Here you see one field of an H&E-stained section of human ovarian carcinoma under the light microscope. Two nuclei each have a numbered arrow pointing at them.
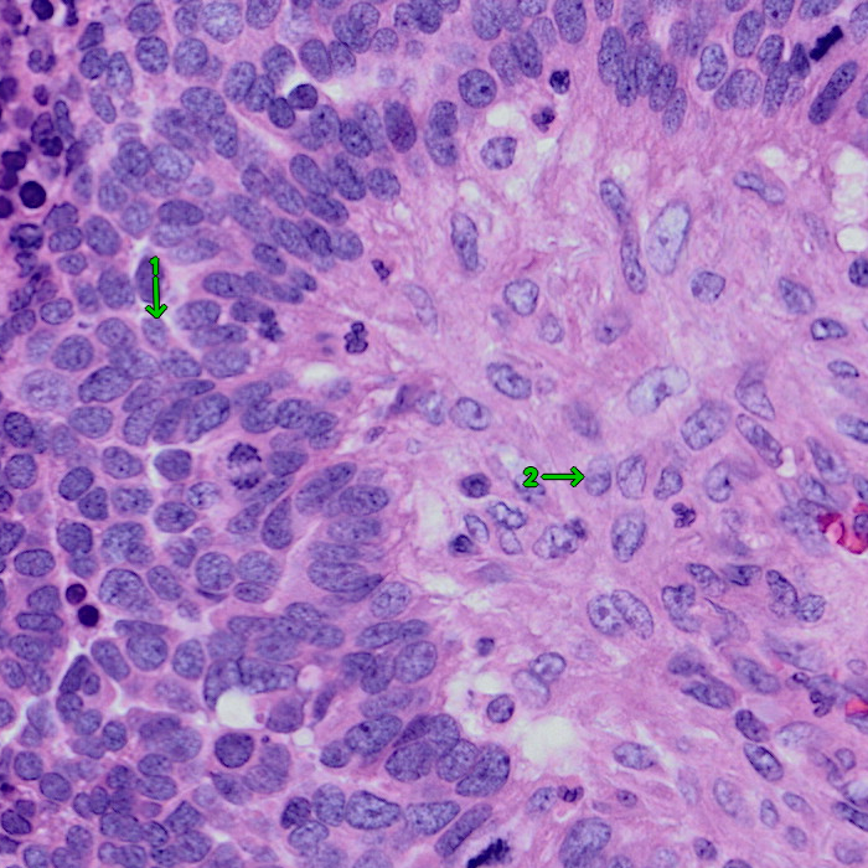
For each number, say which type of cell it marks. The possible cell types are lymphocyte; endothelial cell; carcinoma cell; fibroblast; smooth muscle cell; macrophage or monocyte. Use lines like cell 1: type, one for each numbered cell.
cell 1: carcinoma cell
cell 2: fibroblast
